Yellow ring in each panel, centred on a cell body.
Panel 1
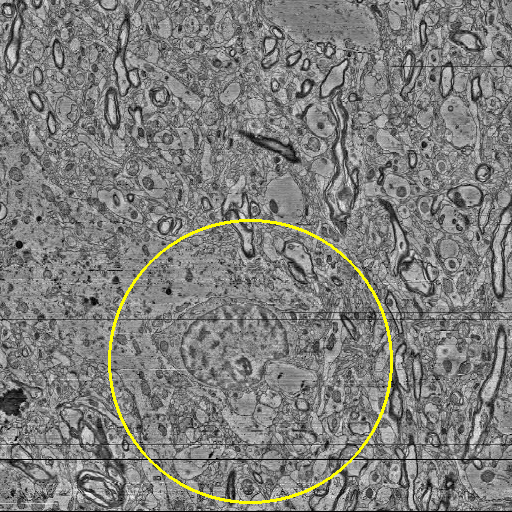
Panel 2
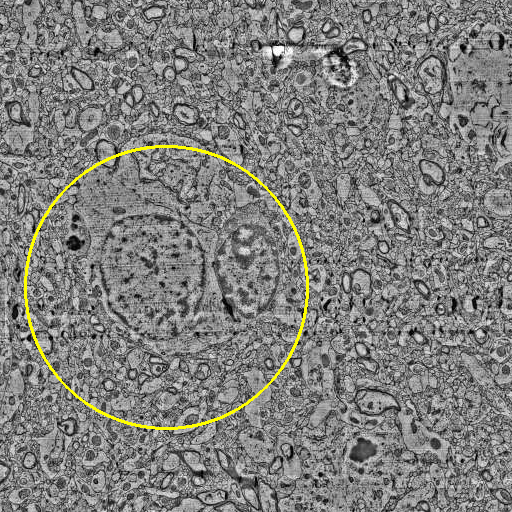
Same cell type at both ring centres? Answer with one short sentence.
No, the two cells are of two types.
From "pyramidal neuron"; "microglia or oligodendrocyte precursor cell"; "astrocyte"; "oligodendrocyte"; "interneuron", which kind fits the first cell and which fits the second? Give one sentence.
The cell marked in the first picture is an oligodendrocyte, and the one marked in the second is a microglial cell or oligodendrocyte precursor cell.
